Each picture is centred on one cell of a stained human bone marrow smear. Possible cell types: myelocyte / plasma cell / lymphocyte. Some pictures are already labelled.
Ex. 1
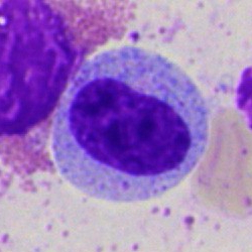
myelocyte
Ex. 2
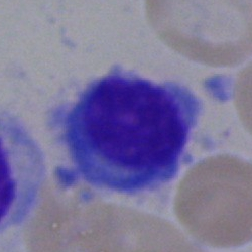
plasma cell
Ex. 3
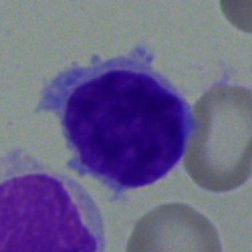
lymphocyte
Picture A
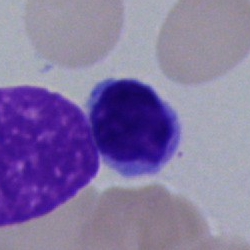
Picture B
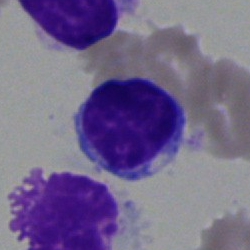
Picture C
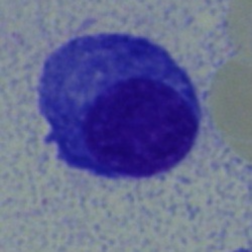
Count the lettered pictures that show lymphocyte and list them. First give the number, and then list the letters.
2: A, B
